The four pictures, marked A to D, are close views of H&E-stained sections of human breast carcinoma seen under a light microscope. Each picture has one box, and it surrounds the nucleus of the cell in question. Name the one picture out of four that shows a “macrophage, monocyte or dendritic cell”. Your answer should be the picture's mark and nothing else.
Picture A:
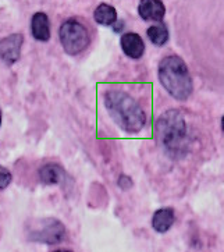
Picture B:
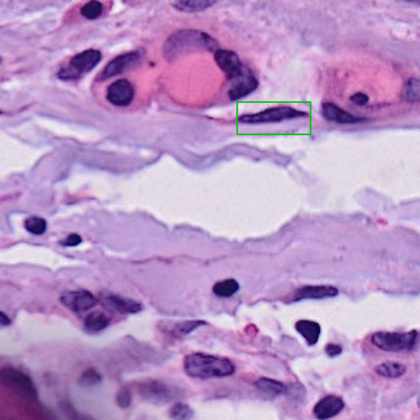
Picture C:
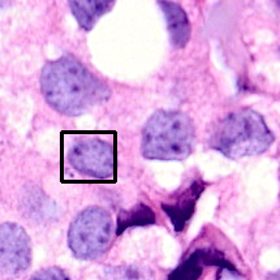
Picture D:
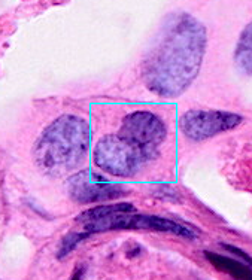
A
